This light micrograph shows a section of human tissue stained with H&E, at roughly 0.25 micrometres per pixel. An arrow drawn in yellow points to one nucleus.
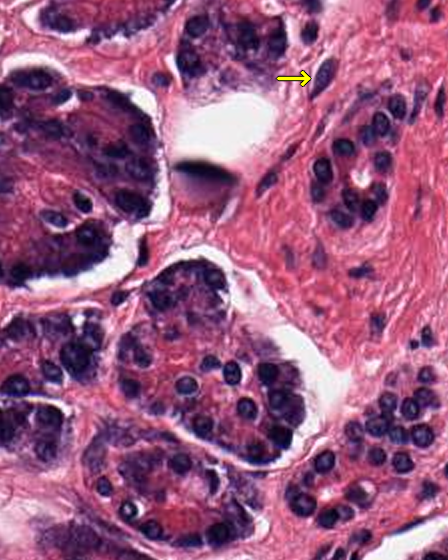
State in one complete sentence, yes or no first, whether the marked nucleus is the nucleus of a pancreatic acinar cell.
No, the marked nucleus is contained in a supporting cell and not in a pancreatic acinar cell.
